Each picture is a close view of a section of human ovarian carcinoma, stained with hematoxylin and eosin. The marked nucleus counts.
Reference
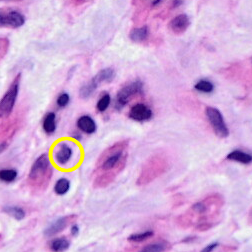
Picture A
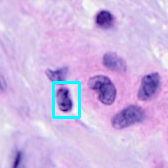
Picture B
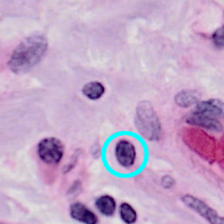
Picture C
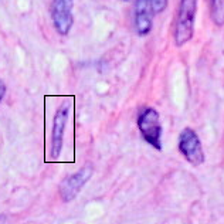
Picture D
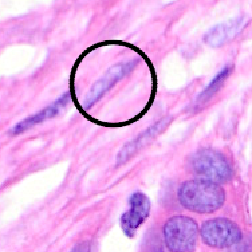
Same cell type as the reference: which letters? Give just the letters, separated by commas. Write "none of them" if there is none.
A, B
